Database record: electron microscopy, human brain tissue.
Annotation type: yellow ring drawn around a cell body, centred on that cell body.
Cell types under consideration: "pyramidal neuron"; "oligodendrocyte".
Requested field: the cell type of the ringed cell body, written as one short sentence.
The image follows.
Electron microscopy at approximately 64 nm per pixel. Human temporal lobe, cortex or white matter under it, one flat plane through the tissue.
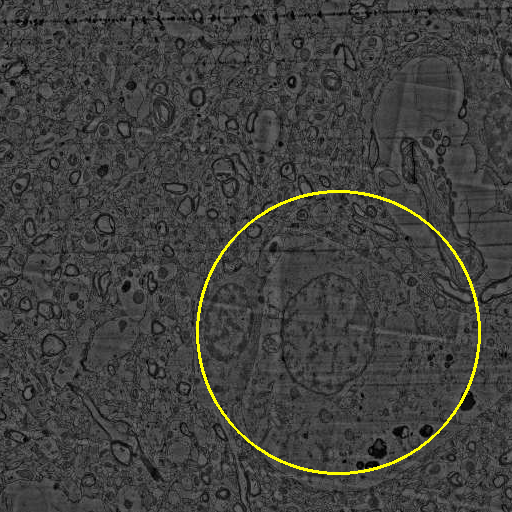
The ringed cell body represents a pyramidal neuron.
